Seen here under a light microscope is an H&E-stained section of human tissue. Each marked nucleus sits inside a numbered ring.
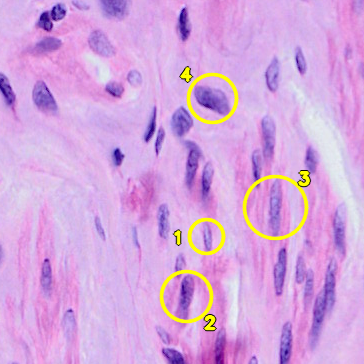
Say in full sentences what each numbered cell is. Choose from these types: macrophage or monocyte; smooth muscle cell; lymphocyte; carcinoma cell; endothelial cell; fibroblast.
Cell 1 is a smooth muscle cell, cell 2 is a smooth muscle cell, cell 3 is a smooth muscle cell and cell 4 is a fibroblast.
